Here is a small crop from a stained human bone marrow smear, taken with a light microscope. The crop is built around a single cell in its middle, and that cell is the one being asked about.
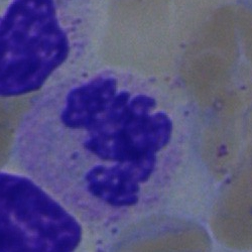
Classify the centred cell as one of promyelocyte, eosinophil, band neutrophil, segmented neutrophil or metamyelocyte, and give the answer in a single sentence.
The crop centres on a single cell, and that cell is a segmented neutrophil.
